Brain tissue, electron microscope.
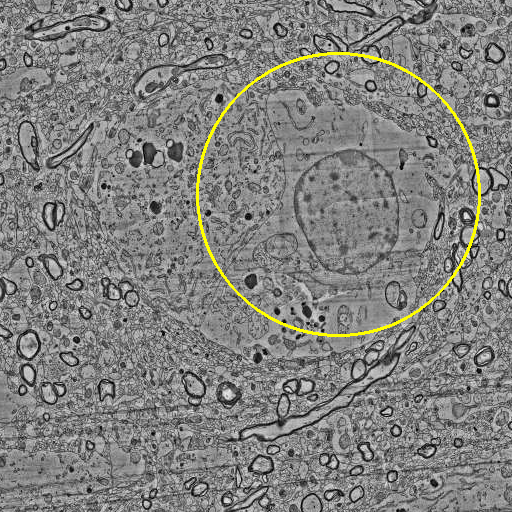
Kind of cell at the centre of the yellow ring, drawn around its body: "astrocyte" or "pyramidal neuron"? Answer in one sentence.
The ring's centre falls on an astrocyte.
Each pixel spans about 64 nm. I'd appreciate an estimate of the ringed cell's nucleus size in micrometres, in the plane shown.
In this plane the nucleus spans approximately 8 by 7 micrometers.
